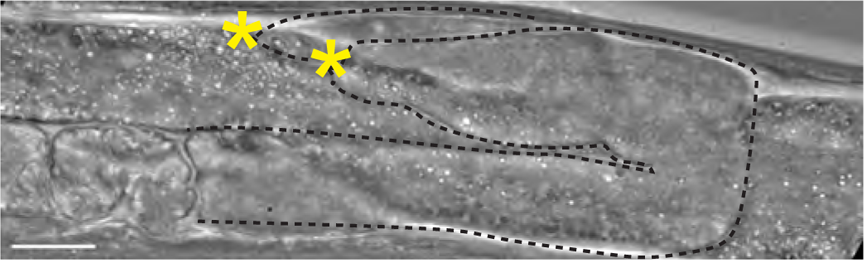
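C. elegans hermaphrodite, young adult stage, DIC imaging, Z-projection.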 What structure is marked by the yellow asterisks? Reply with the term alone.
Anatomical tips of gonad branches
